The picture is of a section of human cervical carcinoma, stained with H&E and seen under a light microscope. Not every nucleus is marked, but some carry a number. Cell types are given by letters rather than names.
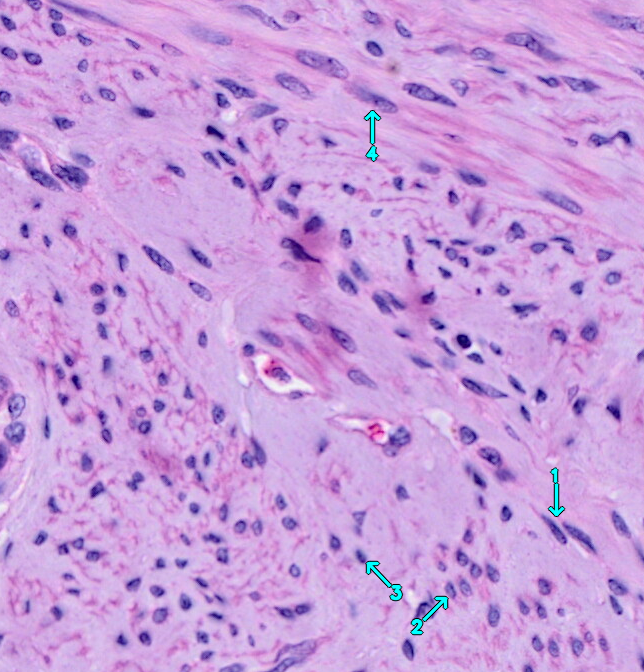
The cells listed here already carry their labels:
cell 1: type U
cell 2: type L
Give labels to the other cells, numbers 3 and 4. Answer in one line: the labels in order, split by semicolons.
type U; type L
